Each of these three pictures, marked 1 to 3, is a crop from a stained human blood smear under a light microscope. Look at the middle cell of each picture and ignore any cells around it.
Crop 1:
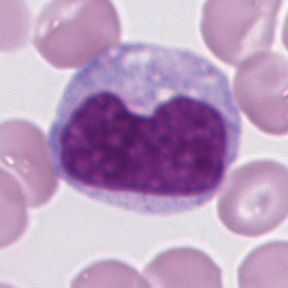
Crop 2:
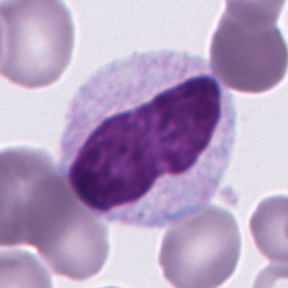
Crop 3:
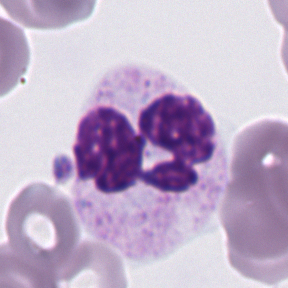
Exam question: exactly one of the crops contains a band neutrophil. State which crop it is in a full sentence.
The crop that shows a band neutrophil is crop 2.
